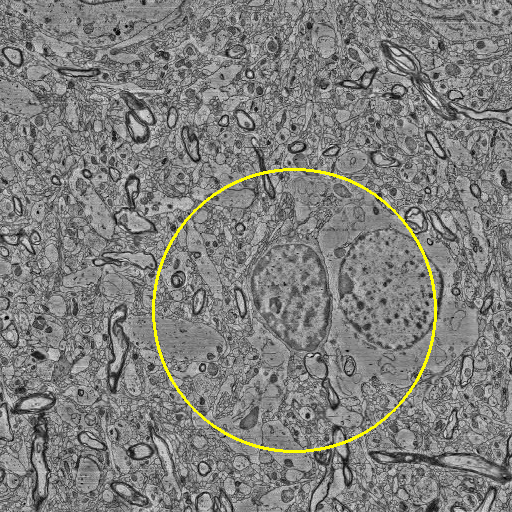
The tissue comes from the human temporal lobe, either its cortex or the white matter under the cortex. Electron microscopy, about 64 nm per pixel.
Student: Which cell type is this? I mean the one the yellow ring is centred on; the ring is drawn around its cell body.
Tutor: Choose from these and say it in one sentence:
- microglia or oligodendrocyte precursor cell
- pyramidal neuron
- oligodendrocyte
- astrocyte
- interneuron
The cell the ring is centred on is an oligodendrocyte.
